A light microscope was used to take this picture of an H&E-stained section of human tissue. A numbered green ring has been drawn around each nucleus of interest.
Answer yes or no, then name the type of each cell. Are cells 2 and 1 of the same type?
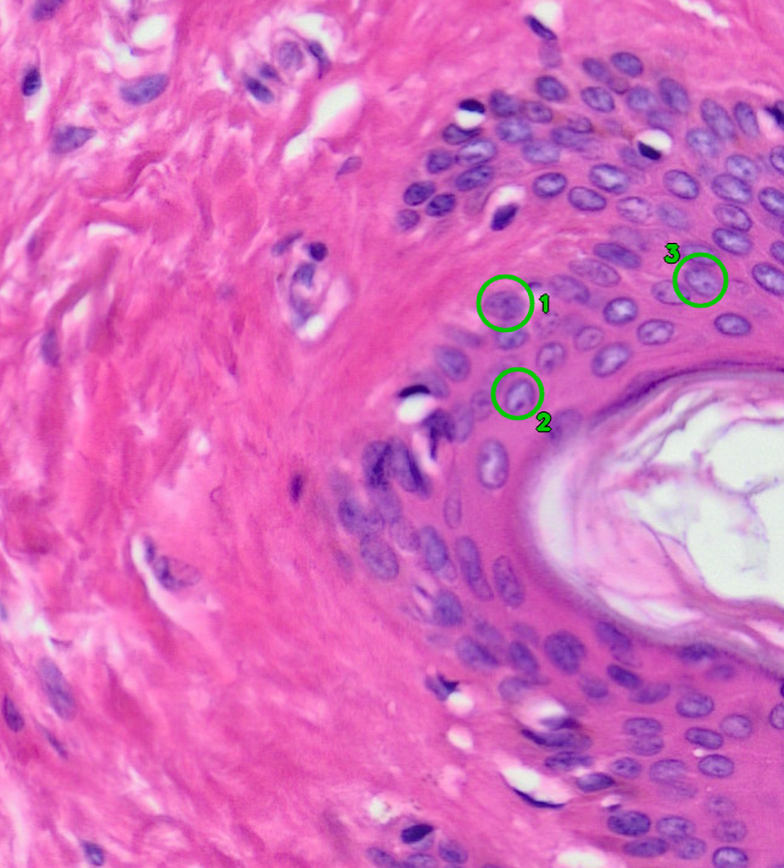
No, the cell at number 2 is a suprabasal keratinocyte, and the cell at number 1 is a basal keratinocyte.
